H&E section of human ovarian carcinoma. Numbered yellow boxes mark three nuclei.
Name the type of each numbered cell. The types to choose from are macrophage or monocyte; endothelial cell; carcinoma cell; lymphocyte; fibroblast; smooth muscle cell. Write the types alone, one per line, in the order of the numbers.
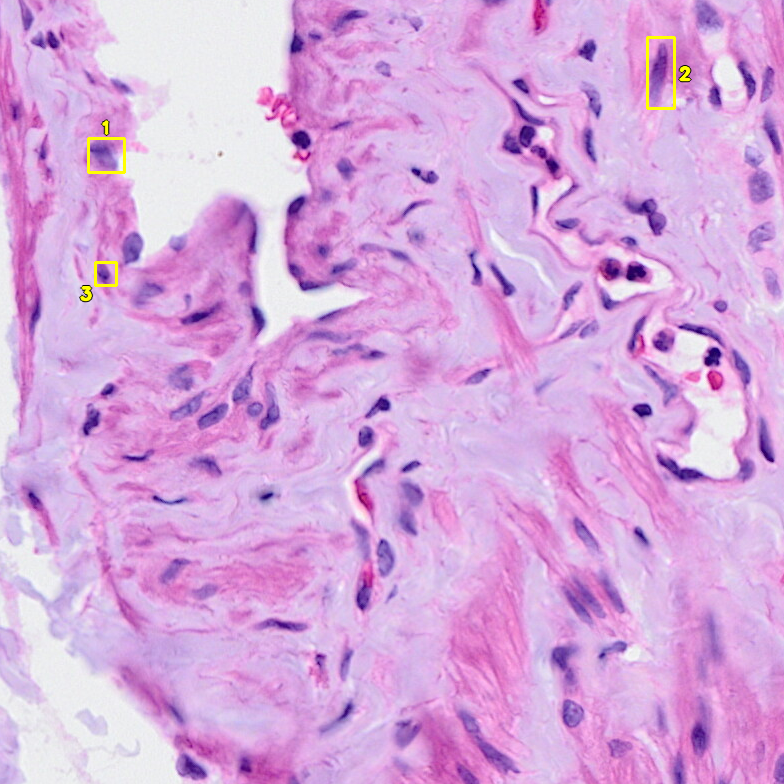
endothelial cell
smooth muscle cell
smooth muscle cell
